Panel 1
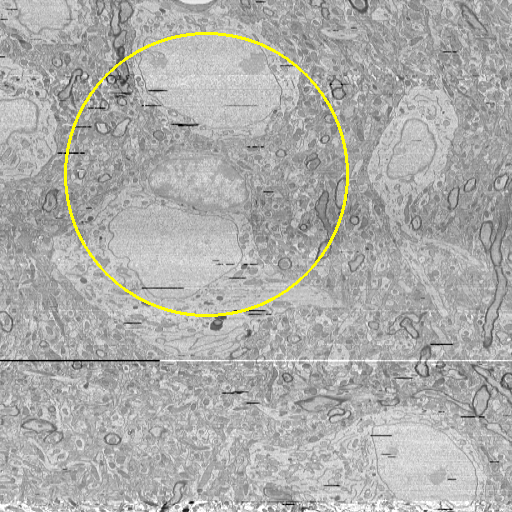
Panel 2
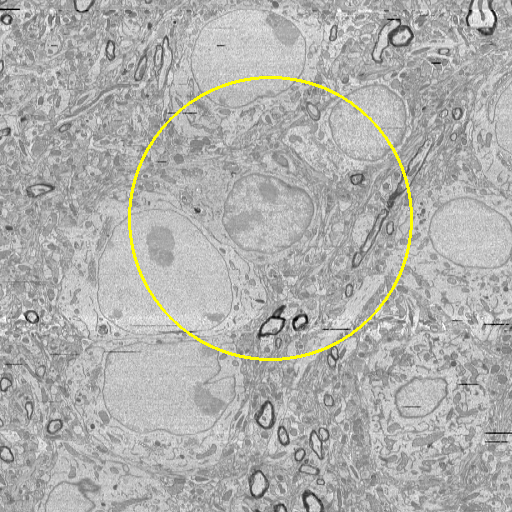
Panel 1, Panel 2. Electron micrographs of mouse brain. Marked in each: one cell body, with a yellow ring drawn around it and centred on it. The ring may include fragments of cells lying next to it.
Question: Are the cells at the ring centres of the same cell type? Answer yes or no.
yes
